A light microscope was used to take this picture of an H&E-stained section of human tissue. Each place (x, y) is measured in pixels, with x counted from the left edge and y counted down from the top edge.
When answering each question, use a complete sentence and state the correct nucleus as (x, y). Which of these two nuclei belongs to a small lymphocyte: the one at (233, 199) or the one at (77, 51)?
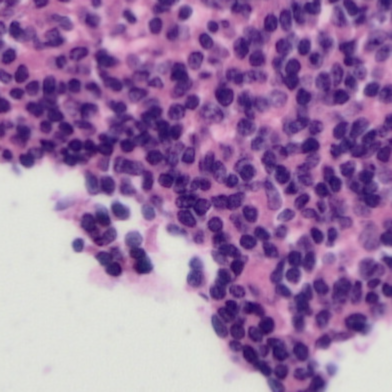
As for which of the two, the nucleus at (233, 199) belongs to a small lymphocyte.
